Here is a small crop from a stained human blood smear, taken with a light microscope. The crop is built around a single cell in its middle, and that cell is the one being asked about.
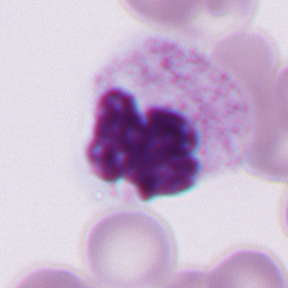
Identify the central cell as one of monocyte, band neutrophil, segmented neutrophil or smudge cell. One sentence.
In the middle of this smear crop is a segmented neutrophil.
